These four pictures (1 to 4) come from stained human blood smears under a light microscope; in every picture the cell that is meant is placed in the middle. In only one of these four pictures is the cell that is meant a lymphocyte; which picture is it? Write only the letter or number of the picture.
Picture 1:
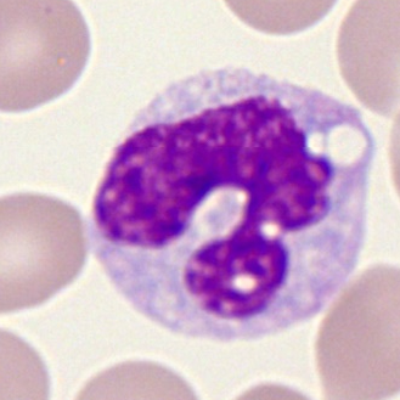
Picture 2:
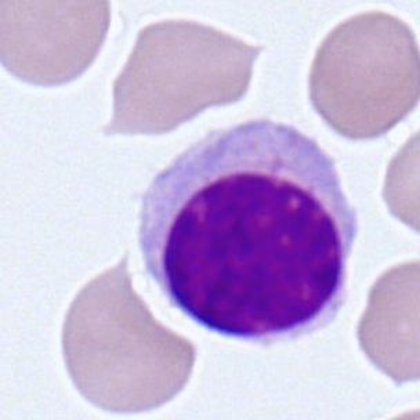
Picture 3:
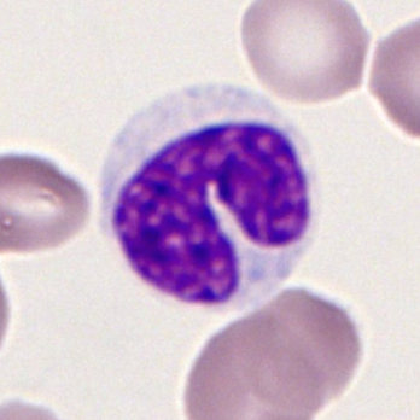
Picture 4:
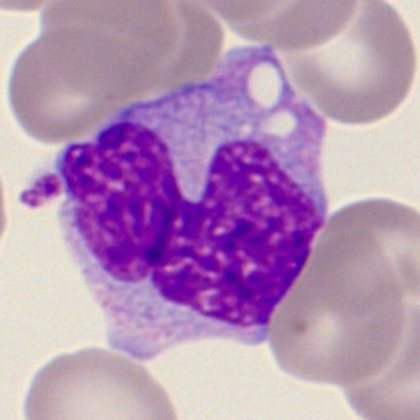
2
